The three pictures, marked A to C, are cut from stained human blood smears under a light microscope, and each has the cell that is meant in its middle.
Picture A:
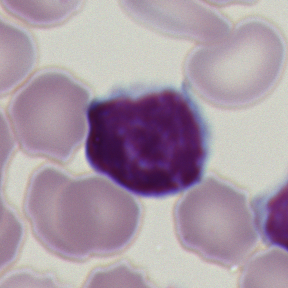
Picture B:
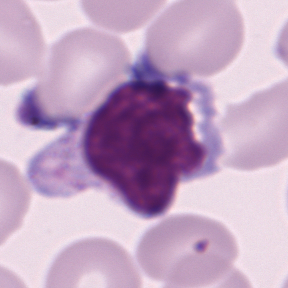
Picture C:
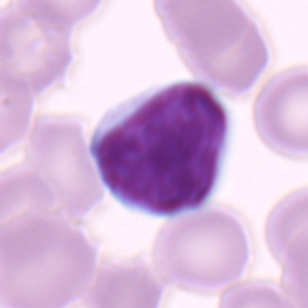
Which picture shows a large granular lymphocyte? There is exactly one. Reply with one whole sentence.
It is picture B that shows the large granular lymphocyte.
